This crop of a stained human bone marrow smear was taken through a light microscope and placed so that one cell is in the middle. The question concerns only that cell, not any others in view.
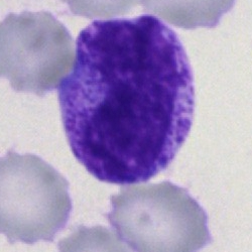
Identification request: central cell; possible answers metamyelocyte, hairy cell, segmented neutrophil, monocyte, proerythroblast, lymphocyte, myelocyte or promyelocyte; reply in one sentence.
Here the centrally located cell is a myelocyte.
